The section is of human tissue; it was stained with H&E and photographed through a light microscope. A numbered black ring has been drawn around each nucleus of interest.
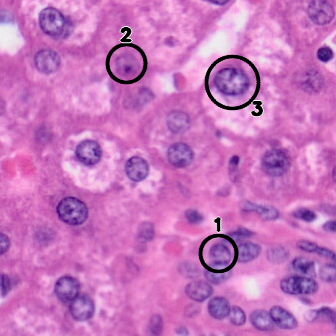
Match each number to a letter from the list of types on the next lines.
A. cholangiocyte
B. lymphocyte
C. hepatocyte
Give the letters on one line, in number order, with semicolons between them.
A; C; C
